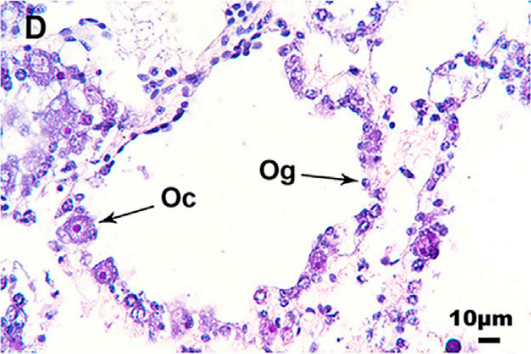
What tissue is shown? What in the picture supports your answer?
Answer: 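A few enlarged round cells with a pale nucleus and a dark nucleolus sit in the follicle wall. Smaller germ cells line the rest of the follicle. So: Ovary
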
